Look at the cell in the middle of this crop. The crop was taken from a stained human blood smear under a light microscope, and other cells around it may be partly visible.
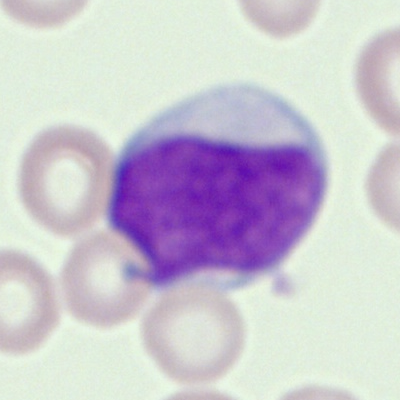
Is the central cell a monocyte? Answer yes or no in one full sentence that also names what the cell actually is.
No, the centre cell is not a monocyte but a blast.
